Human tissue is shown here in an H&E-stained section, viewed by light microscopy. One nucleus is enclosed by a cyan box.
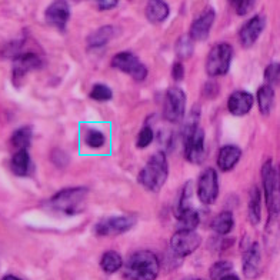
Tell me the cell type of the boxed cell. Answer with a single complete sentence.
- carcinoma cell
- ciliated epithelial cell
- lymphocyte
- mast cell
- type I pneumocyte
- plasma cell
Cell type answer for this item: the boxed cell is a lymphocyte.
